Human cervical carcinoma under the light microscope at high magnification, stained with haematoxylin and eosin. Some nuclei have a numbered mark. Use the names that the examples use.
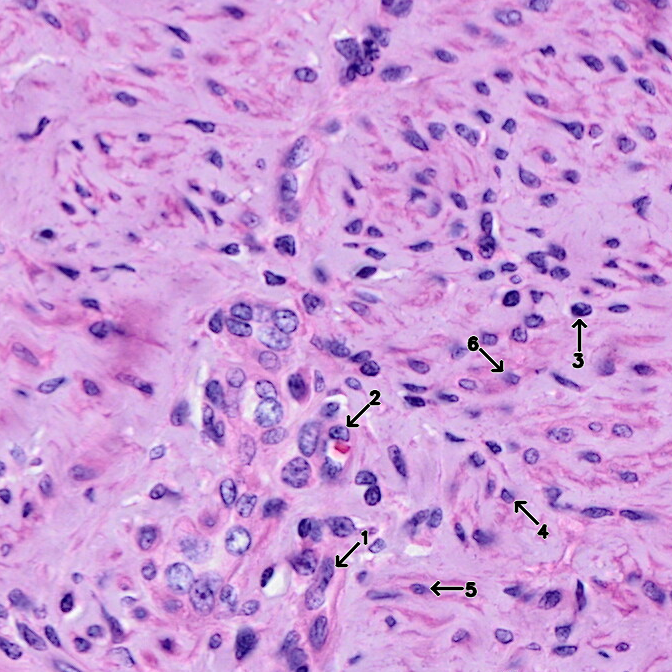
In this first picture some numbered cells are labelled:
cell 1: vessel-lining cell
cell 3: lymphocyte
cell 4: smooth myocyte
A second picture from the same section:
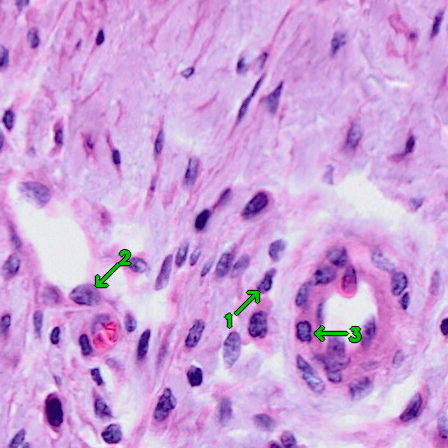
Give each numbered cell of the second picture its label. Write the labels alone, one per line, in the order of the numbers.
lymphocyte
vessel-lining cell
smooth myocyte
